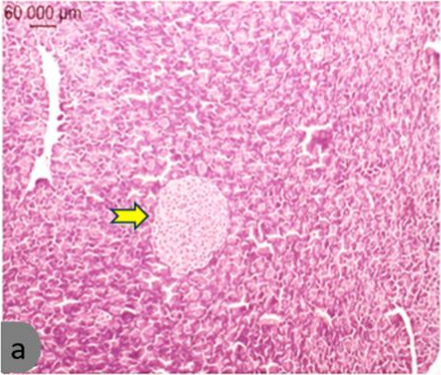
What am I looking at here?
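Densely packed, deeply purple-stained acini fill most of the field, forming a continuous exocrine parenchyma with only thin clefts between lobules. Near the centre sits a round, sharply bounded, pale pink cluster of cells with smaller, more lightly stained cytoplasm, clearly set apart from the surrounding darker acini. This pale cluster is a pancreatic islet with intact outline lying within normal exocrine pancreas.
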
